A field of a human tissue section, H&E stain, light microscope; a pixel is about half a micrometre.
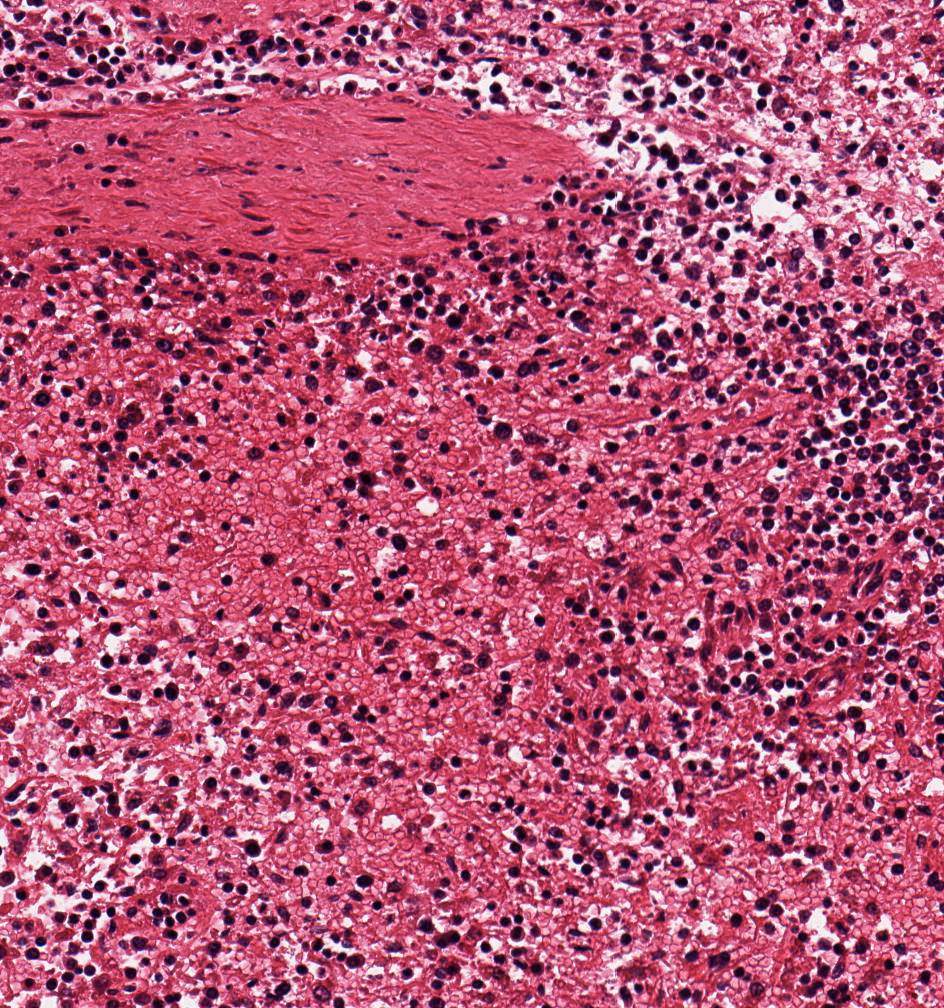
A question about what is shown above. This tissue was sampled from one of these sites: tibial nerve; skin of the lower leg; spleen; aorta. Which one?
spleen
